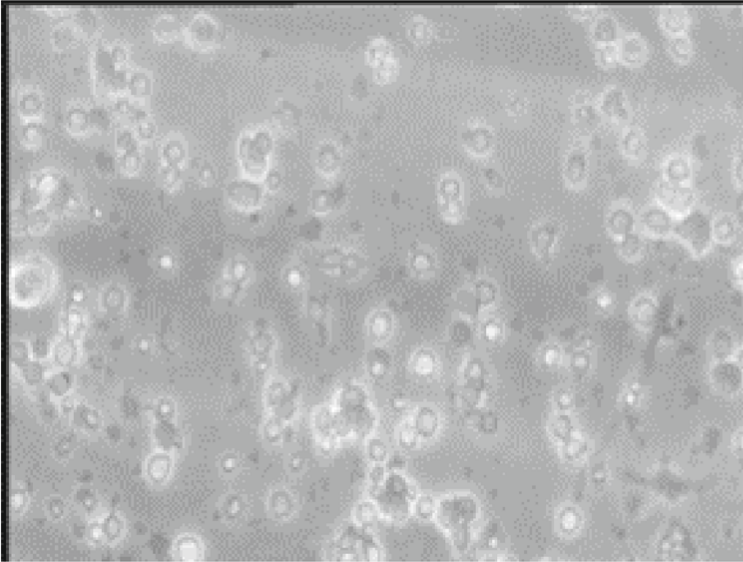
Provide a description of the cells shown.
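The cells are small, rounded and phase-bright, each surrounded by a bright halo. They lie scattered singly or in small loose groups over a grey background. Few or no long processes are visible, and the cells are not yet linked to one another. Small dark particles are scattered between the cells.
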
